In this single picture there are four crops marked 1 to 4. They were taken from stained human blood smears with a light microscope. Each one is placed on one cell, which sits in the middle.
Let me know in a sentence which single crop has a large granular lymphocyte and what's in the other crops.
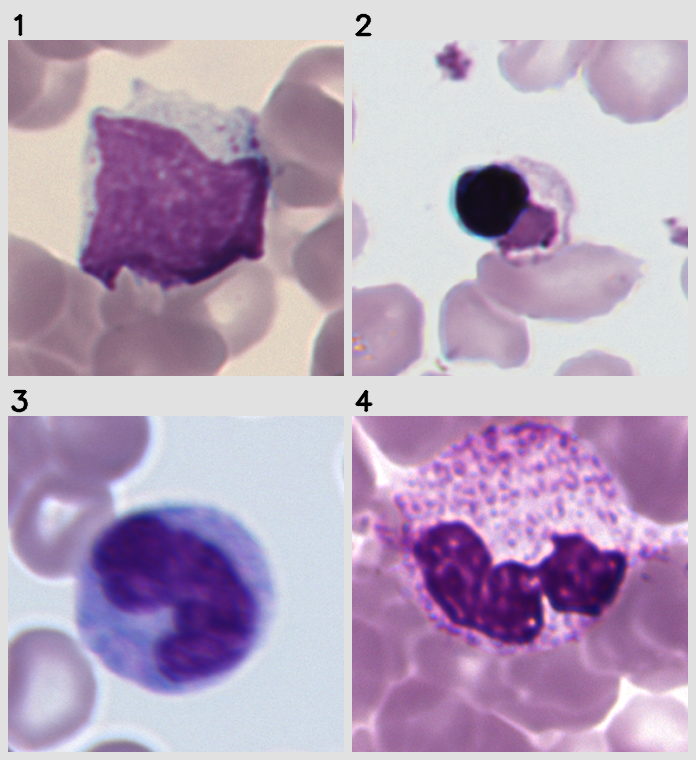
Here crop 1 shows a large granular lymphocyte, while crop 2 is a normoblast, crop 3 is a monocyte and crop 4 is a segmented neutrophil.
